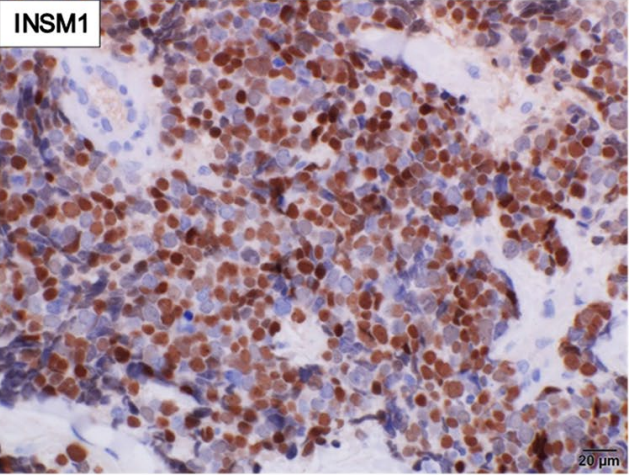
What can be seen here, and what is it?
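A solid sheet of tumor cells, most of whose nuclei are stained brown, while a minority and the cells of the surrounding stroma stay blue. The brown stain is confined to the round to oval crowded nuclei, the scant cytoplasm remaining unstained.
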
